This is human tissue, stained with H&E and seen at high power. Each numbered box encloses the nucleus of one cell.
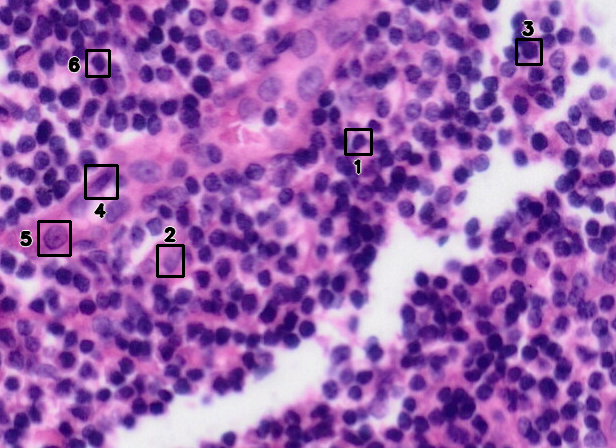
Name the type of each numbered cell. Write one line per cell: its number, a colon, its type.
1: small lymphocyte
2: endothelial cell
3: small lymphocyte
4: endothelial cell
5: endothelial cell
6: small lymphocyte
